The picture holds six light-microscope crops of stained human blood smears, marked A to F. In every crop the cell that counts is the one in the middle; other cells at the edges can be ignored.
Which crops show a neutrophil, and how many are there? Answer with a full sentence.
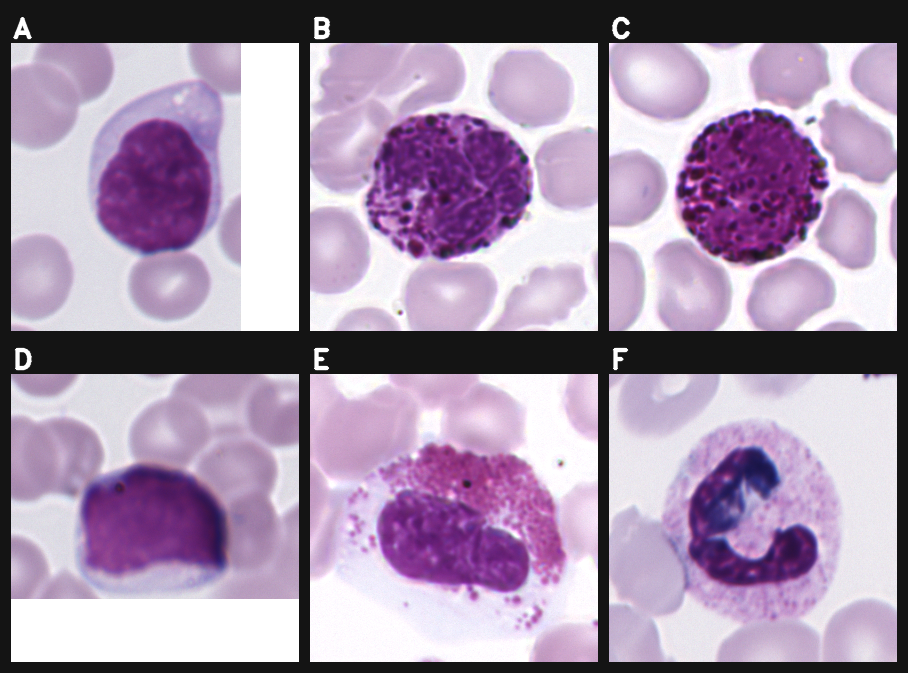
Out of all the crops, just crop F shows a neutrophil, so the count is one.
